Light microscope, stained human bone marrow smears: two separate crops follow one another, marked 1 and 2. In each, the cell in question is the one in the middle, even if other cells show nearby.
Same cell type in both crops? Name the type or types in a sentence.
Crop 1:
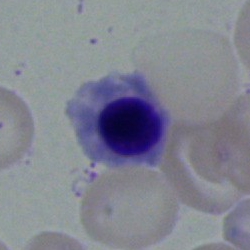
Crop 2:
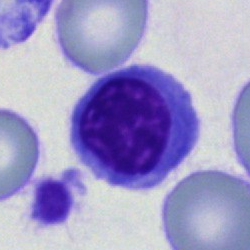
Yes, both of the crops in this pair show erythroblasts, one cell in each crop.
